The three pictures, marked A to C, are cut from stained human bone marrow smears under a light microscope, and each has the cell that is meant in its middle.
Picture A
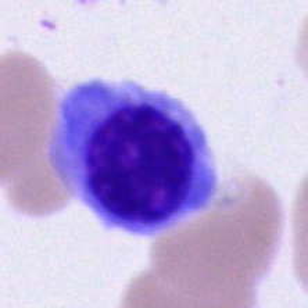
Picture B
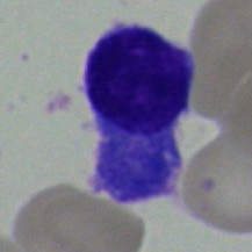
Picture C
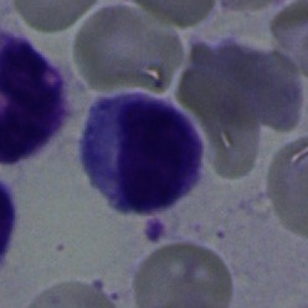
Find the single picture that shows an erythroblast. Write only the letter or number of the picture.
A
